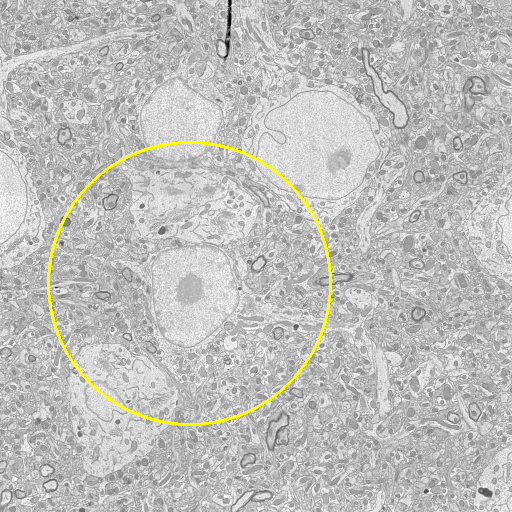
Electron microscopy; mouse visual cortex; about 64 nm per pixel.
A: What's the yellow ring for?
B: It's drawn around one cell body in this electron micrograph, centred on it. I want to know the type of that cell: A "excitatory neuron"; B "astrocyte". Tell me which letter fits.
B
